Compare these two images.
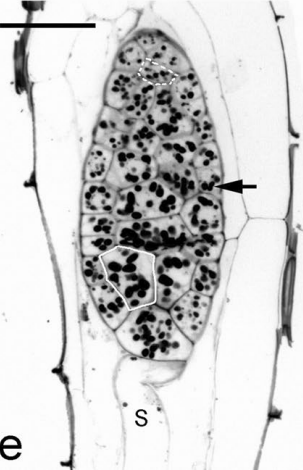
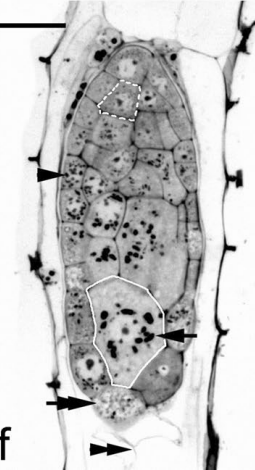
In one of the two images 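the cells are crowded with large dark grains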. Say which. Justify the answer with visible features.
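The first image. First image: nearly every cell holds many large dark oval grains.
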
